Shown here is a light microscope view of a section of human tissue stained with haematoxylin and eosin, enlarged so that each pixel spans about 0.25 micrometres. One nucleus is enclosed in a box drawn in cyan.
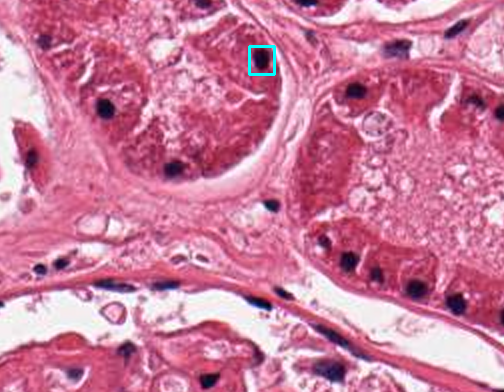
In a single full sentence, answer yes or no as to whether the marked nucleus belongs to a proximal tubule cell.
Yes, a proximal tubule cell holds the marked nucleus.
